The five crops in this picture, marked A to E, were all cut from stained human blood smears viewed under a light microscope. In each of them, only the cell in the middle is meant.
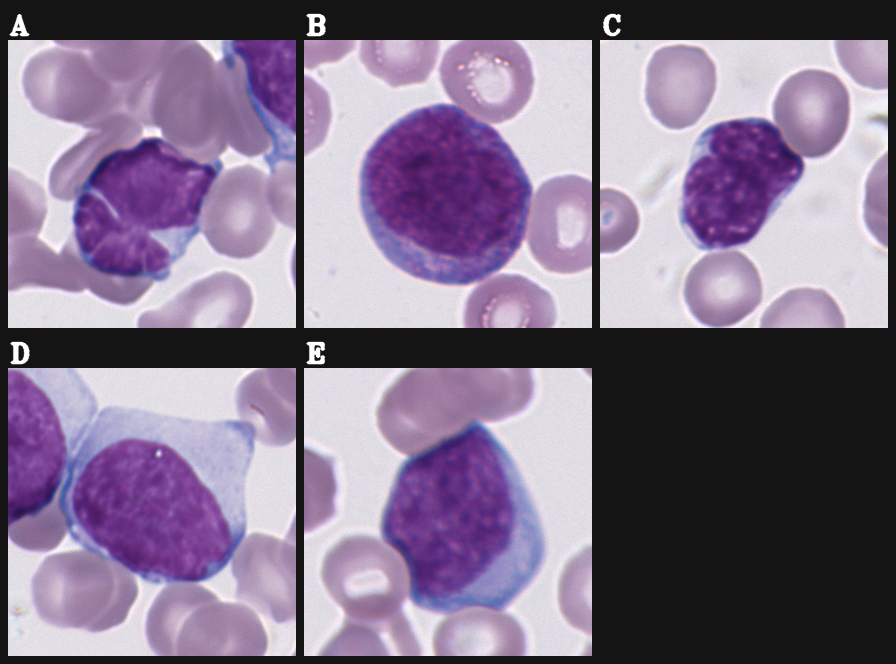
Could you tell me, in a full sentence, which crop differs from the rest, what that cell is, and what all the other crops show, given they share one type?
What sets crop B apart is that it shows a promyelocyte, while the others show blasts.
